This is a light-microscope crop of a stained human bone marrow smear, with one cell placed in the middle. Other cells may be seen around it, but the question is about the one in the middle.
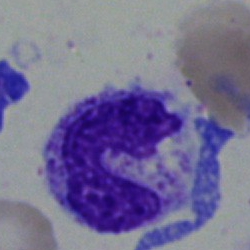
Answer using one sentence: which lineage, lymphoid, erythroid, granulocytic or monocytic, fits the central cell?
With respect to lineage, the central cell is to be called monocytic.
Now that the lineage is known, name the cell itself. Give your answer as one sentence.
This crop has a monocyte at its centre.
